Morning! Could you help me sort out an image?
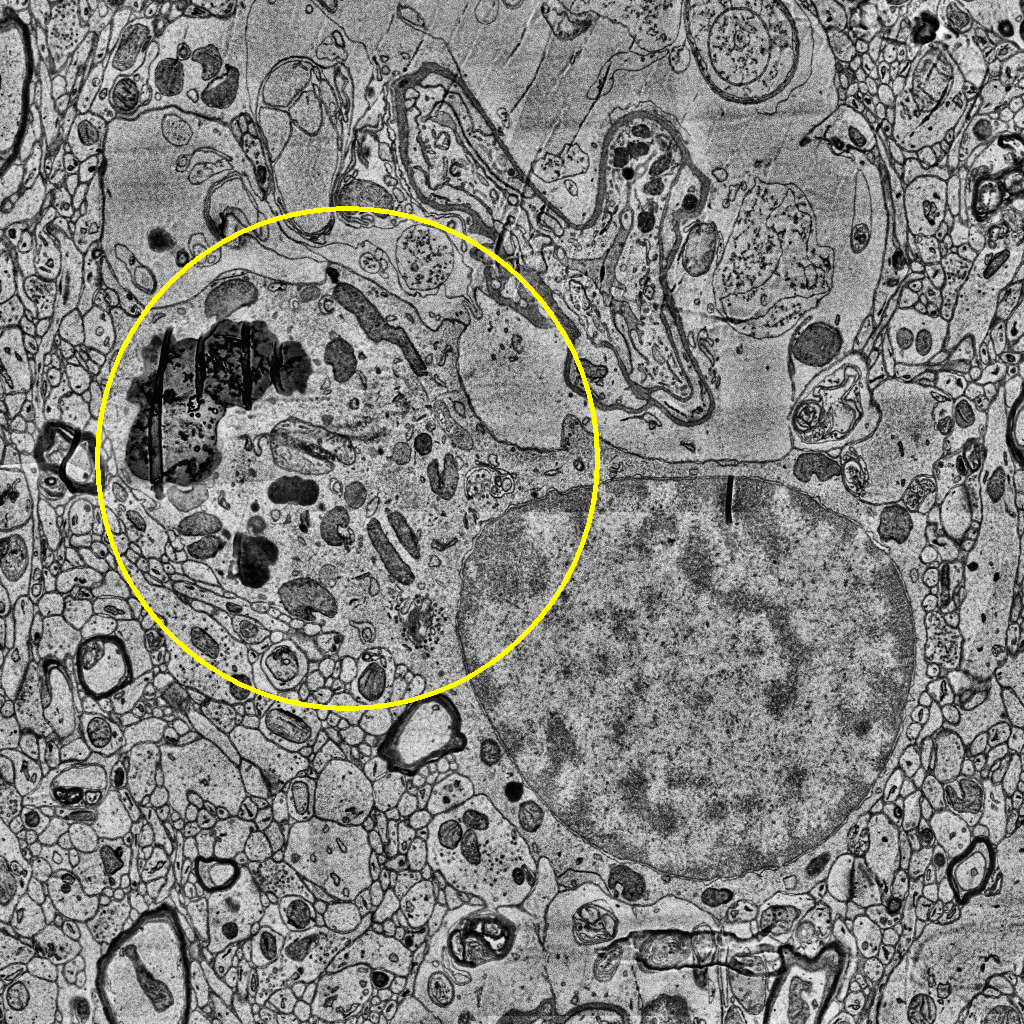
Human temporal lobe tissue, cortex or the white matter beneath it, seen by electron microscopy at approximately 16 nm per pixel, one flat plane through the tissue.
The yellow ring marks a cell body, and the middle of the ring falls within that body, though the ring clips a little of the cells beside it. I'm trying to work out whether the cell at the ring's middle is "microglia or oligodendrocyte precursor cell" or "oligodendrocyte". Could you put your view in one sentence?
The cell body at the ring's middle is that of an oligodendrocyte.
